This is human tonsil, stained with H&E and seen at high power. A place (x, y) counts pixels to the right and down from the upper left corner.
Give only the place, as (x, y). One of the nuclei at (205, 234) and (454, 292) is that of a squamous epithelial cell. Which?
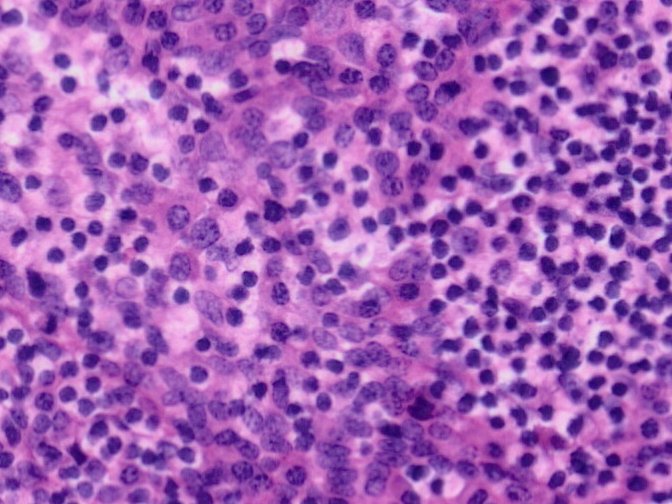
(205, 234)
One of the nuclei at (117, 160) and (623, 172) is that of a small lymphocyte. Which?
(623, 172)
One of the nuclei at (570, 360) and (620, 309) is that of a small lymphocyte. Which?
(620, 309)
